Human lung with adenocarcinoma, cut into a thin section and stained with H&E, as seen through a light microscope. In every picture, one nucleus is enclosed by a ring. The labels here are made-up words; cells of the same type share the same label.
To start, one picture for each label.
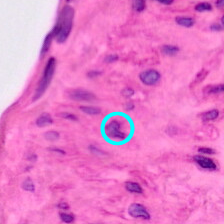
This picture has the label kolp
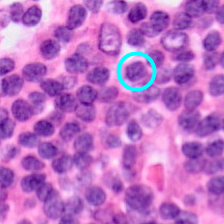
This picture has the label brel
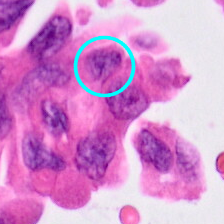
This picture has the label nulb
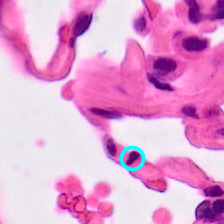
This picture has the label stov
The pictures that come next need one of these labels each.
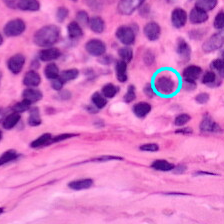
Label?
brel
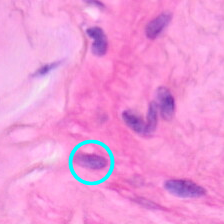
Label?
kolp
